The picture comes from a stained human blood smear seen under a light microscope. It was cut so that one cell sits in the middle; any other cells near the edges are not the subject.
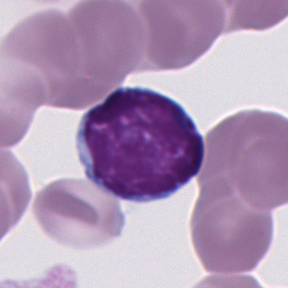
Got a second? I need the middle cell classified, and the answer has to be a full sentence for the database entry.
Positioned in the middle of the crop is a typical lymphocyte.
